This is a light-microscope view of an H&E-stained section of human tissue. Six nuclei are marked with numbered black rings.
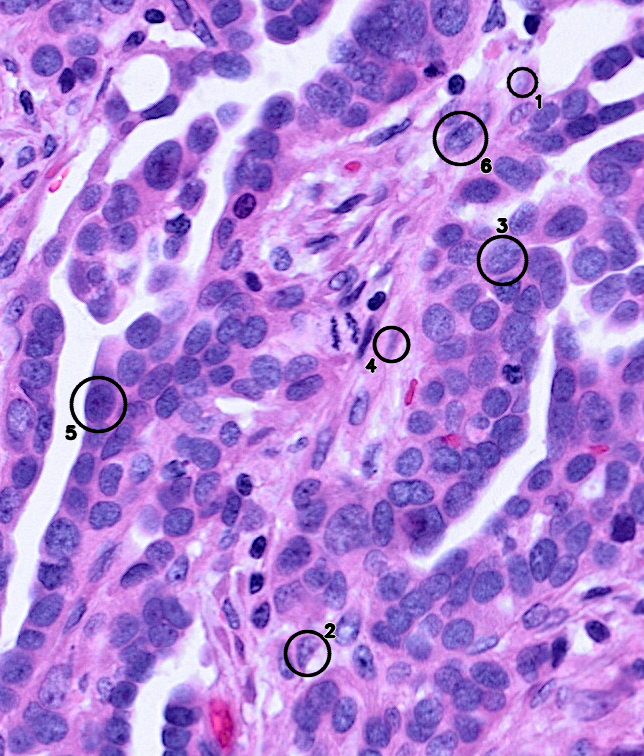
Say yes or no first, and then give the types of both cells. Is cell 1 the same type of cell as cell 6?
Yes, both of the cells numbered 1 and 6 are fibroblasts.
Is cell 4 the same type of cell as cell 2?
Yes, it is as fibroblasts that cells 4 and 2 are both classified.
